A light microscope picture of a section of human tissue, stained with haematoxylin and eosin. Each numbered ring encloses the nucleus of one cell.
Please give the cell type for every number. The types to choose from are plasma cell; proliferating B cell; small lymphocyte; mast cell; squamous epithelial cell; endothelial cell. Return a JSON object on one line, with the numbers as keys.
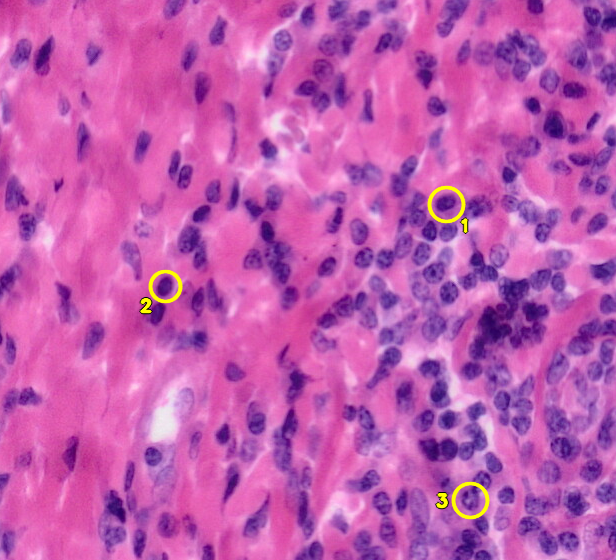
{"1": "plasma cell", "2": "mast cell", "3": "plasma cell"}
